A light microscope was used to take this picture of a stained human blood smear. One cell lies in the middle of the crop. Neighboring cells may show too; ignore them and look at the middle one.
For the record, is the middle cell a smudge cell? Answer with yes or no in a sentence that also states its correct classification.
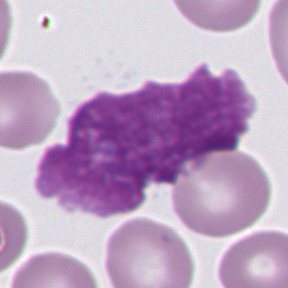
Yes, the cell at the midpoint of the crop is a smudge cell.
